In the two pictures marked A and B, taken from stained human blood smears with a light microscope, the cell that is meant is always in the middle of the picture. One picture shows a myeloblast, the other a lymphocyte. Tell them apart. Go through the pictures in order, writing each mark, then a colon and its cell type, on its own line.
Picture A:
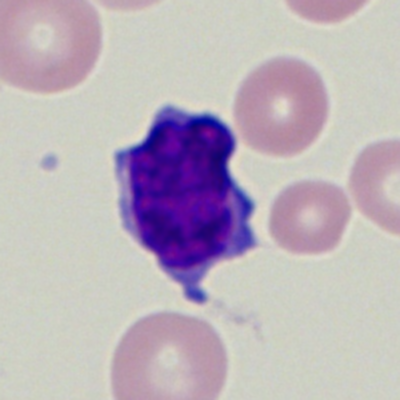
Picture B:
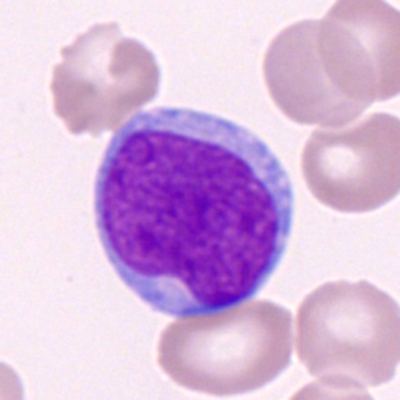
A: lymphocyte
B: myeloblast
